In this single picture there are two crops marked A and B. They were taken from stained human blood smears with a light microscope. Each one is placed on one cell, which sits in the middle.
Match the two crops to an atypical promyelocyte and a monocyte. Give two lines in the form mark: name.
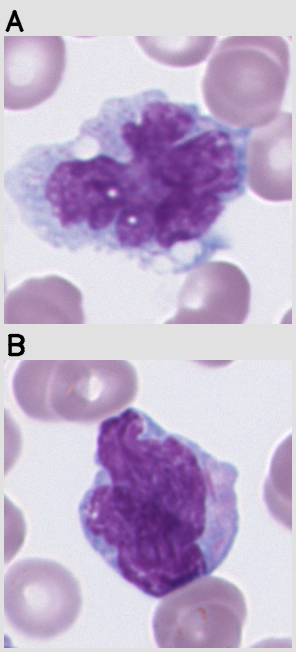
A: monocyte
B: atypical promyelocyte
